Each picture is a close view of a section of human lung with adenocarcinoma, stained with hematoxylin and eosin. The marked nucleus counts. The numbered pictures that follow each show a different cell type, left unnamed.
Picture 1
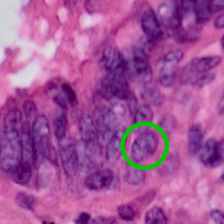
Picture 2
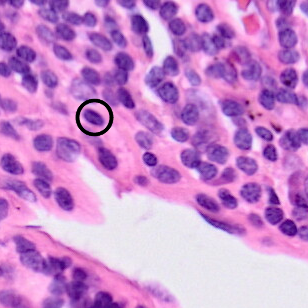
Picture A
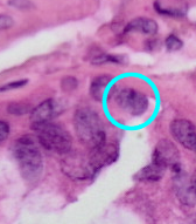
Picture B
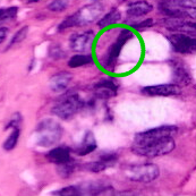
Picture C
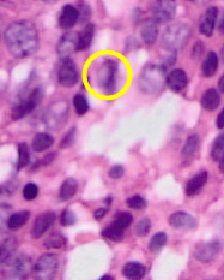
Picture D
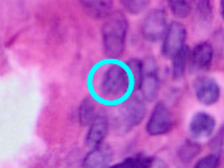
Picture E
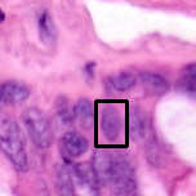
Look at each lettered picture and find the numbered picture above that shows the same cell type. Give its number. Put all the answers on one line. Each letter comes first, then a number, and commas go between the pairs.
A 1, B 1, C 1, D 1, E 1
